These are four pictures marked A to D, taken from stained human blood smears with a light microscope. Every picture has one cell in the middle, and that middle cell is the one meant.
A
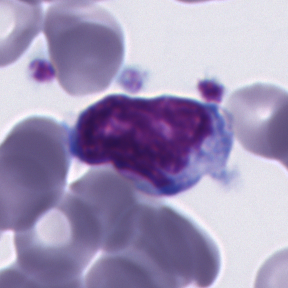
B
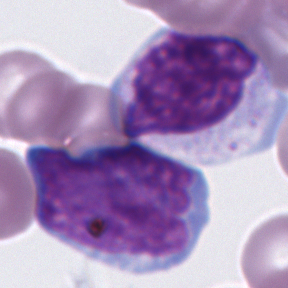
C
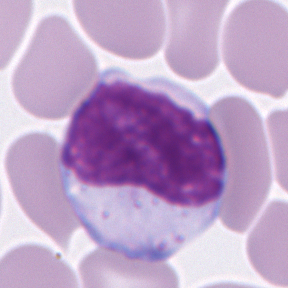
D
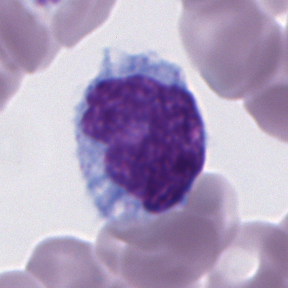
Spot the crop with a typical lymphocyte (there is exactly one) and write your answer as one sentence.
Among all the crops given here, the one with a typical lymphocyte is crop A.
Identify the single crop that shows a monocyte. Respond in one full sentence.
The one showing a monocyte is crop D.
